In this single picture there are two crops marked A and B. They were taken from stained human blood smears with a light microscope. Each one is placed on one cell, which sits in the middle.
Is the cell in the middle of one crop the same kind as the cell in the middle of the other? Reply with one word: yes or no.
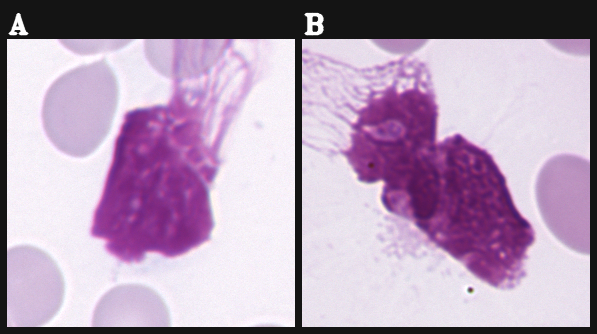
yes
